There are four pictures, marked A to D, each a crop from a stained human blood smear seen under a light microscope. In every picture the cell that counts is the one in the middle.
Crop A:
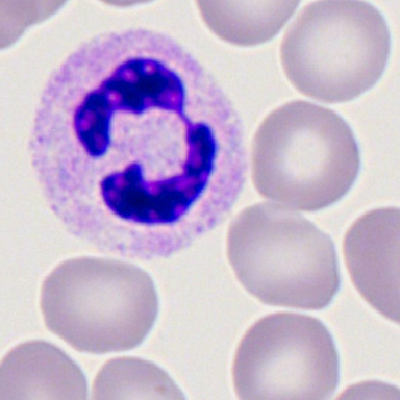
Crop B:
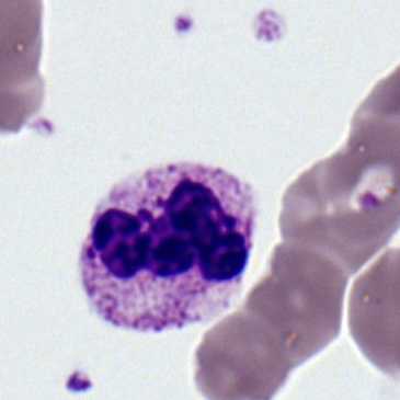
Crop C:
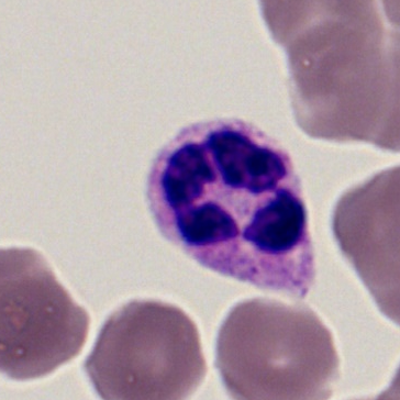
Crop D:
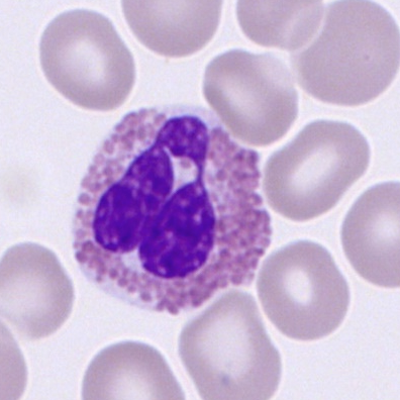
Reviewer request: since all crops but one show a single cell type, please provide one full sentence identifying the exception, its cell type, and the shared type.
Crop D alone shows an eosinophil; the other crops are all segmented neutrophils.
